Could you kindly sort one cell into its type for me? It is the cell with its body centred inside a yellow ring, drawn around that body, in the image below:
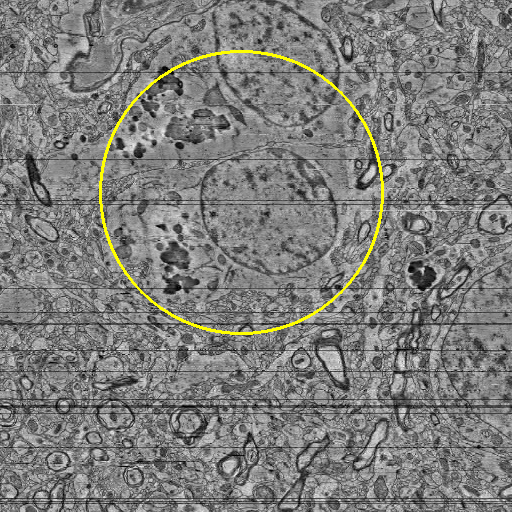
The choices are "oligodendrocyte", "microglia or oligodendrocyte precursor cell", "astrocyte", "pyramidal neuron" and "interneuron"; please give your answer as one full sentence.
The cell whose body lies centred in the yellow ring here is an astrocyte.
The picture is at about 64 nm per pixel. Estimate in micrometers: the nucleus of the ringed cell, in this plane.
The nucleus of the ringed cell is approximately 9 by 8 micrometres in this plane.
